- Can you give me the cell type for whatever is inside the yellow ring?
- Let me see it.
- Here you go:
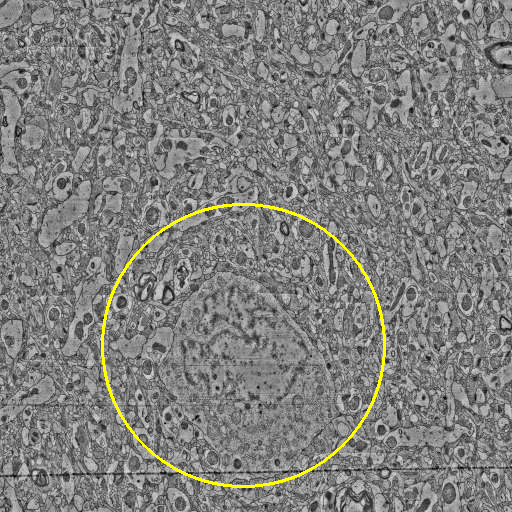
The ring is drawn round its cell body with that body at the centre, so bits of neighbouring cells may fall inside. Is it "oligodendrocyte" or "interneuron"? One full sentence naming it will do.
The cell body in the middle of the ring in this picture belongs to an interneuron.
